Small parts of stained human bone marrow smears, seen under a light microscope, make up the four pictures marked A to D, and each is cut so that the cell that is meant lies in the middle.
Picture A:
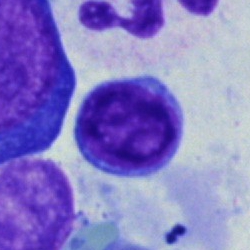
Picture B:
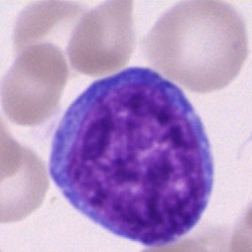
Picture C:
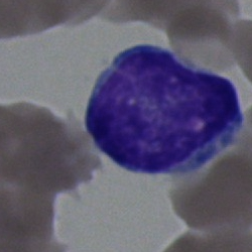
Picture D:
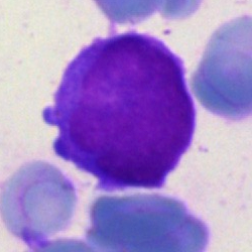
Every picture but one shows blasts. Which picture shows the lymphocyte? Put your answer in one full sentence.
It is picture A that shows the lymphocyte.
